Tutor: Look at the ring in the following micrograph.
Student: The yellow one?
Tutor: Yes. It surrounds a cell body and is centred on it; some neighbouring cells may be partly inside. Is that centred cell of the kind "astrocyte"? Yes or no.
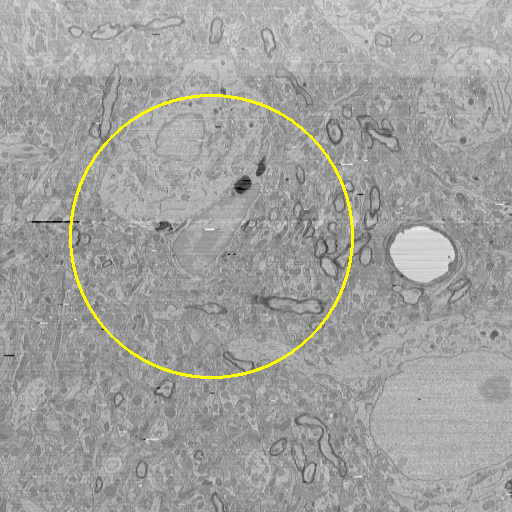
no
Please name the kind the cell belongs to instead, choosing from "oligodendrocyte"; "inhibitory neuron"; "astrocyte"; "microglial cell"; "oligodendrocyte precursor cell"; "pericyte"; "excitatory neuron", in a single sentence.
The ring's central cell is a microglial cell instead.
